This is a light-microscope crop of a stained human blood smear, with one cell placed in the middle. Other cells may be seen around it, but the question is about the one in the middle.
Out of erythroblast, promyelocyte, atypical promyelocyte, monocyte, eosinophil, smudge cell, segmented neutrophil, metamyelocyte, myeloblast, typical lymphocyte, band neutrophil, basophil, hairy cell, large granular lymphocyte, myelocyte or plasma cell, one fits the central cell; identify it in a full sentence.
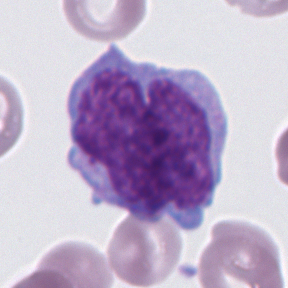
The crop centres on a single cell, and that cell is an atypical promyelocyte.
